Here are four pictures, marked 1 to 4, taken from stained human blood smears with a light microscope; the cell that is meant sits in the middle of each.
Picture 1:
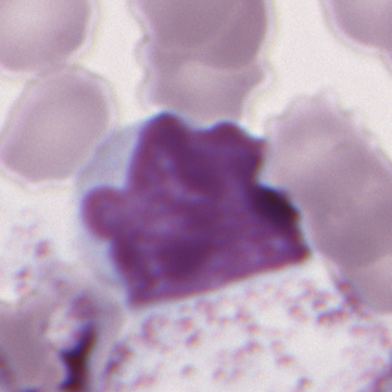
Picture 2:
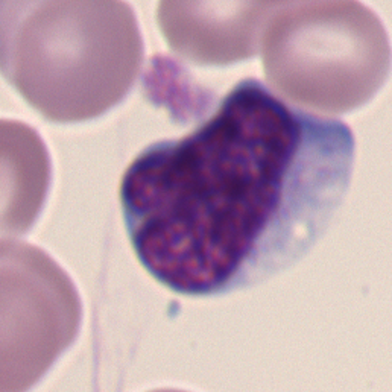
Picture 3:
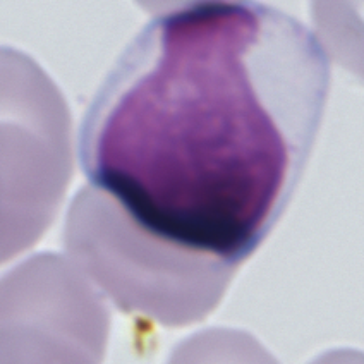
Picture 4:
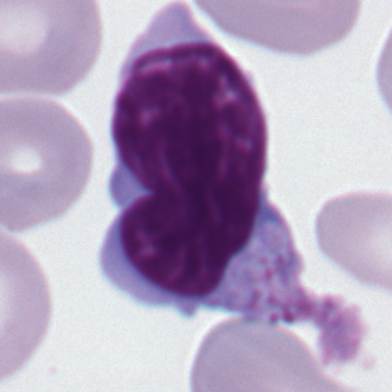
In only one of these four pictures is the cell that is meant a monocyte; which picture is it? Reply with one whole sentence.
It is picture 2 that shows the monocyte.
